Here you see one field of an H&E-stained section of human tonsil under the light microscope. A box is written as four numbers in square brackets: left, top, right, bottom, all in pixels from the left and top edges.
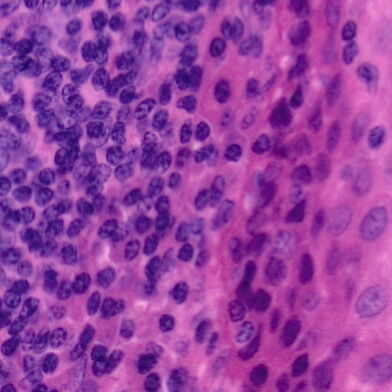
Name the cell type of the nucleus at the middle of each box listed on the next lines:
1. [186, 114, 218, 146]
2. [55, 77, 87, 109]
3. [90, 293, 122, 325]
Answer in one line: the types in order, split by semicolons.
plasma cell; small lymphocyte; plasma cell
